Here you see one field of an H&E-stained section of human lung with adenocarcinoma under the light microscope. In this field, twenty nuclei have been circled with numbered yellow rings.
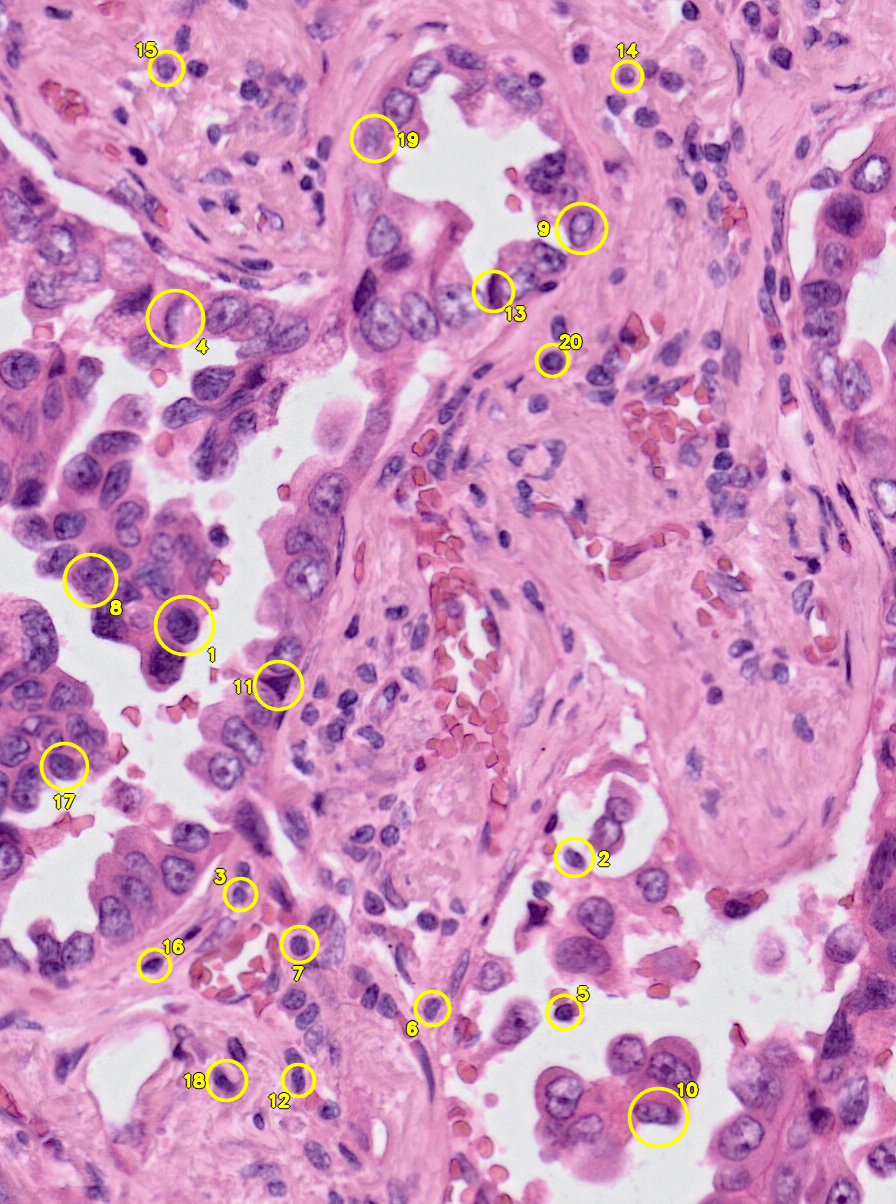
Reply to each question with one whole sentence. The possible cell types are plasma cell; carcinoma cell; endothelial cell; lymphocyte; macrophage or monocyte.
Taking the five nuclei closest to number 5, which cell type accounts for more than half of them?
Carcinoma cells make up most of the five nuclei closest to number 5.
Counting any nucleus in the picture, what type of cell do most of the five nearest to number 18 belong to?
The majority of the five nuclei closest to number 18 belong to plasma cells.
